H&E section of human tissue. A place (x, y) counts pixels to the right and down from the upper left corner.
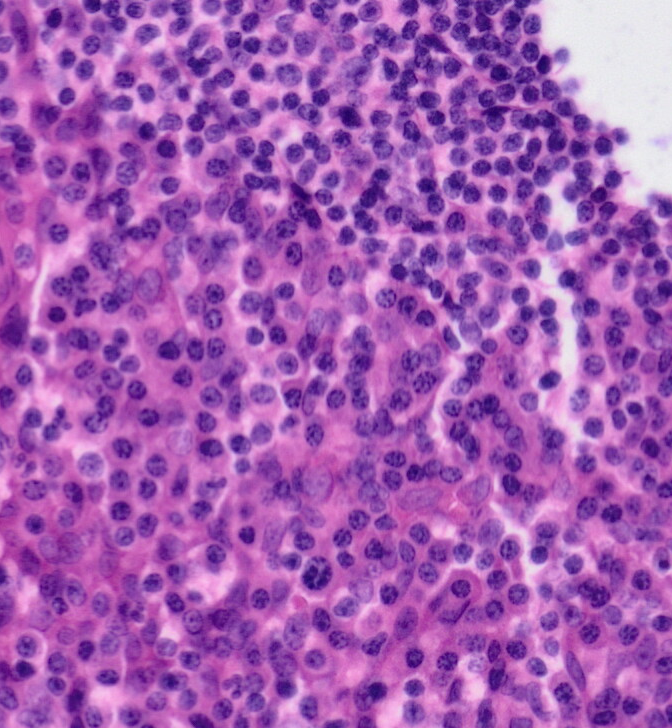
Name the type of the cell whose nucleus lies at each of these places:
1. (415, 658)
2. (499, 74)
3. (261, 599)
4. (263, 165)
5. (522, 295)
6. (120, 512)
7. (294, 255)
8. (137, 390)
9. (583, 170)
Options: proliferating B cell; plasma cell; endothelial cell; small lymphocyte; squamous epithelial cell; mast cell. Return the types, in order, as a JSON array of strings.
["plasma cell", "small lymphocyte", "plasma cell", "small lymphocyte", "small lymphocyte", "plasma cell", "plasma cell", "plasma cell", "small lymphocyte"]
